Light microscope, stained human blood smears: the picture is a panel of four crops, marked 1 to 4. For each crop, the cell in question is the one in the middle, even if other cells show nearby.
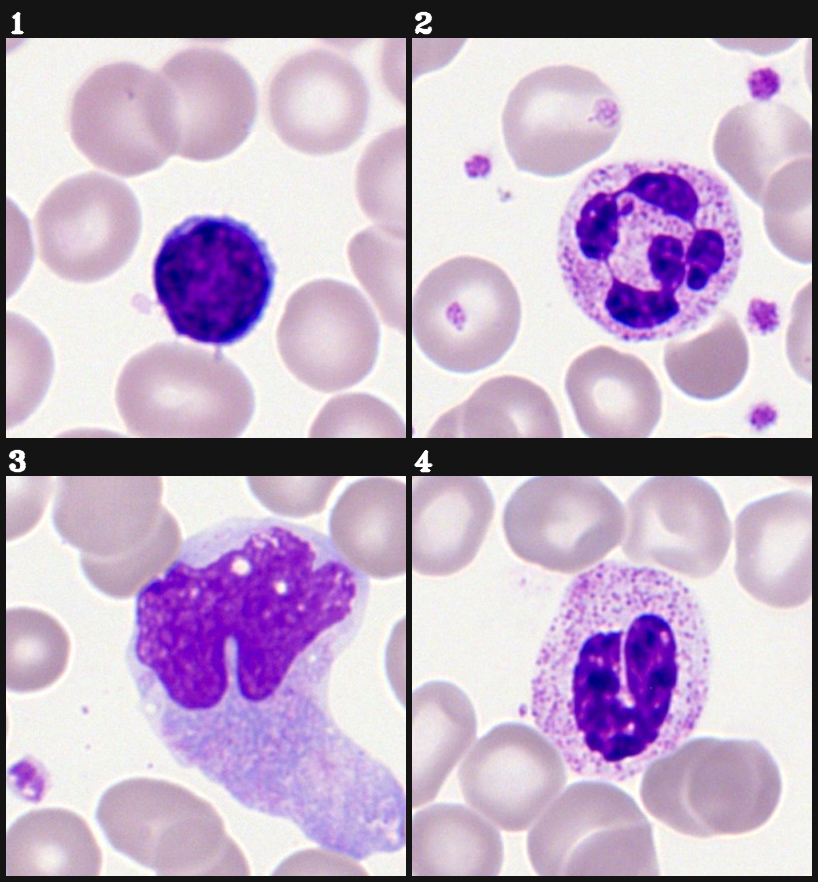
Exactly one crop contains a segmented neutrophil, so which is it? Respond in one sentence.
Crop 2 is the one to choose: it shows a segmented neutrophil.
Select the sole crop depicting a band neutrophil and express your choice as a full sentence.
It is in crop 4, among all the crops, that a band neutrophil is present.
